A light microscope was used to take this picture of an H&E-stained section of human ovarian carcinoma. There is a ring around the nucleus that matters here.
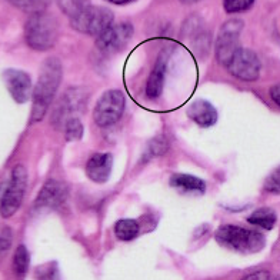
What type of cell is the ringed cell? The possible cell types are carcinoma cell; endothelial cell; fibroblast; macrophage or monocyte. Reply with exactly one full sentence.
In this tissue section, the ringed cell is to be classed as a carcinoma cell.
